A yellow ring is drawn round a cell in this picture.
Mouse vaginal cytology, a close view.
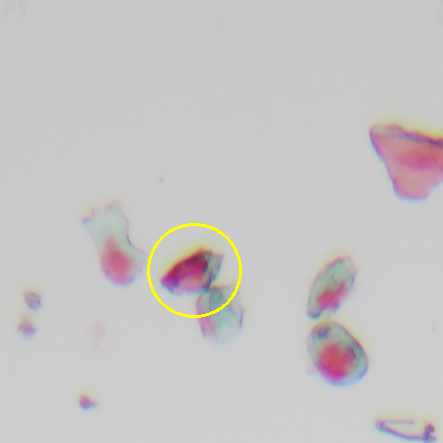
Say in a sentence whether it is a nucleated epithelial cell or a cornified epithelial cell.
The cell in the ring is a cornified epithelial cell.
